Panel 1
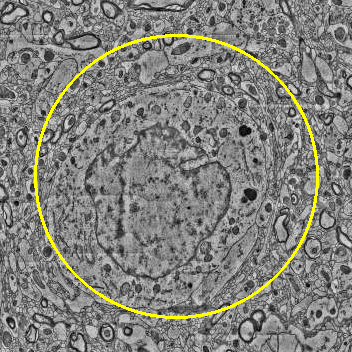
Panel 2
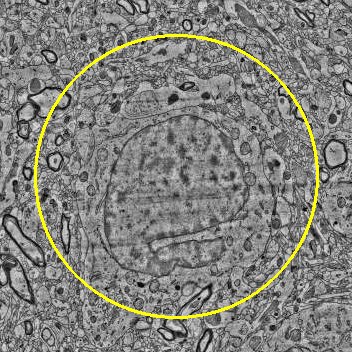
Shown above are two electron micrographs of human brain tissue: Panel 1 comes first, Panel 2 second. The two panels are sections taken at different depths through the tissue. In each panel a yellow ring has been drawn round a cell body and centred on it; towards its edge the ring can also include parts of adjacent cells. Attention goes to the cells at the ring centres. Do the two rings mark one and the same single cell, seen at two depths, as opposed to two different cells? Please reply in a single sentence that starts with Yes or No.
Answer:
No, the two circled cells are distinct from one another.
